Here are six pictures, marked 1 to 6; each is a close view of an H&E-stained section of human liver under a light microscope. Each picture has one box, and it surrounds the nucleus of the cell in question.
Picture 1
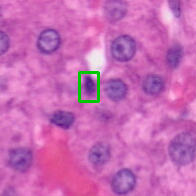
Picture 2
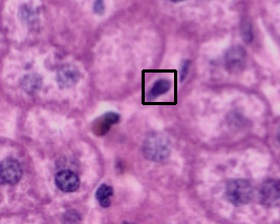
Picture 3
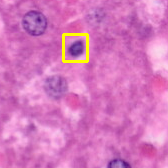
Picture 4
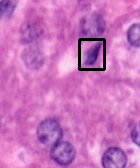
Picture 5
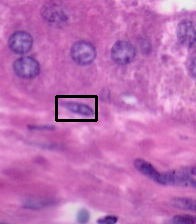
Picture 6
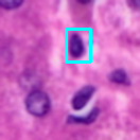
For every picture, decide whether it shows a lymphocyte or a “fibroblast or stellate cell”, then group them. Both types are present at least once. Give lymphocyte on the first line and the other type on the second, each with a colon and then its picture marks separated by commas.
lymphocyte: 2, 3, 6
fibroblast or stellate cell: 1, 4, 5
